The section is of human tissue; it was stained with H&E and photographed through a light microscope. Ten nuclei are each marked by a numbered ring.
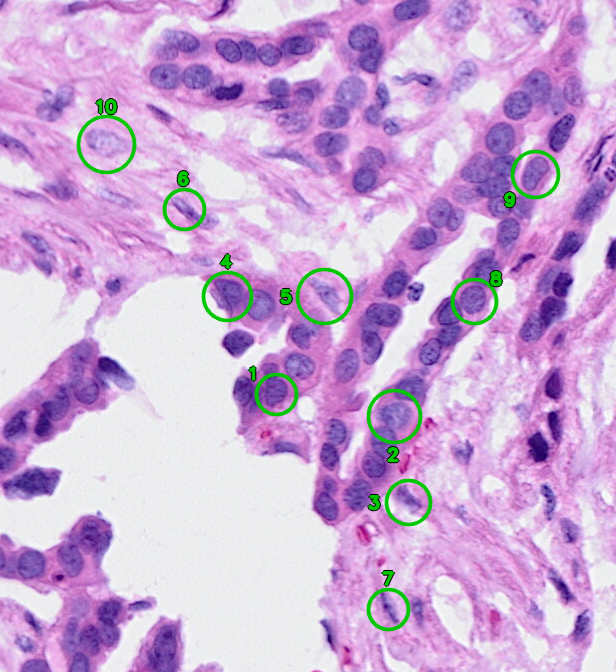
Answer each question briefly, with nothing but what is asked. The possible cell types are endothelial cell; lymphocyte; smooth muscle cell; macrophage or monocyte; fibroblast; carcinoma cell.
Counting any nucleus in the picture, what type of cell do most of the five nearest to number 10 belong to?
fibroblast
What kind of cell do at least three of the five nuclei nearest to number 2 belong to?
carcinoma cell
